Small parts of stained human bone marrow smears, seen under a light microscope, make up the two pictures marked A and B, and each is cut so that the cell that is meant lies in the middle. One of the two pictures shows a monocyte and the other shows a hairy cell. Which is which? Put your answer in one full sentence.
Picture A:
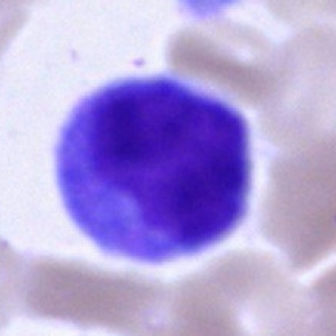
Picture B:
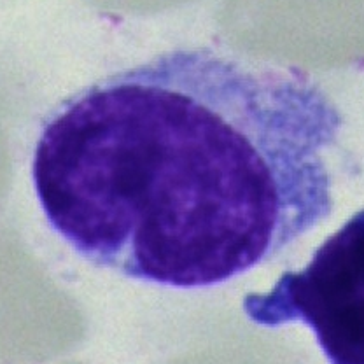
Picture B shows a hairy cell, while picture A shows a monocyte.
